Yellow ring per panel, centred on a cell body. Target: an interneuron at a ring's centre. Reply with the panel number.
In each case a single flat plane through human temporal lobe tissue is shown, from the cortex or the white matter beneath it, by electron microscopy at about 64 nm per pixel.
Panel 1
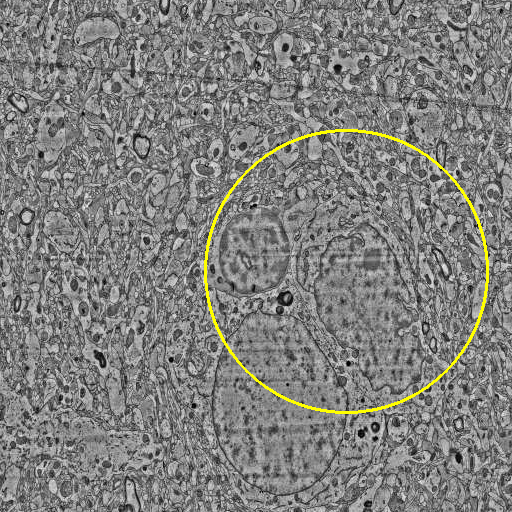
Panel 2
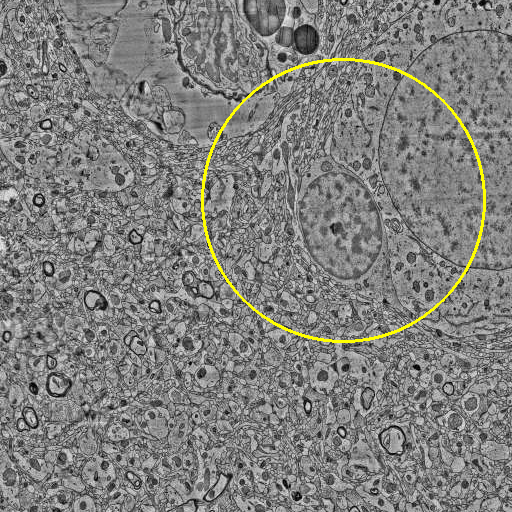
1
